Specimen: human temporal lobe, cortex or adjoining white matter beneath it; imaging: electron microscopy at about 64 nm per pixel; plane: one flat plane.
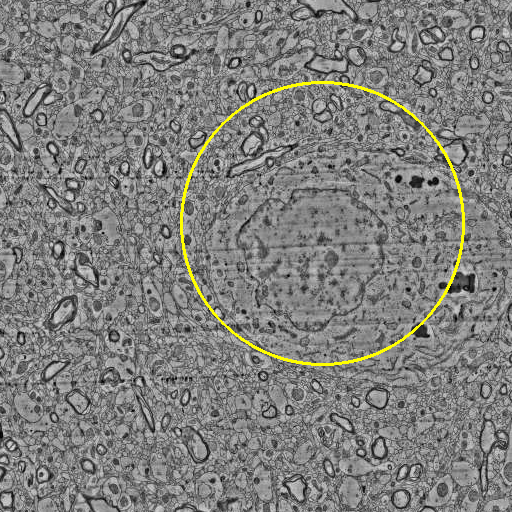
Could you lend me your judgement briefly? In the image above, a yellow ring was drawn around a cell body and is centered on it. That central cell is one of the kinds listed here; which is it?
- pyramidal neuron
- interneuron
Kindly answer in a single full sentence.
Going by the list, an interneuron is the kind at the ring's center in the picture.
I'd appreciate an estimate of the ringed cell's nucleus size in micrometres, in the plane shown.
The nucleus measures about 9 micrometers across in this plane.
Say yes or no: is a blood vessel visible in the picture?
No.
